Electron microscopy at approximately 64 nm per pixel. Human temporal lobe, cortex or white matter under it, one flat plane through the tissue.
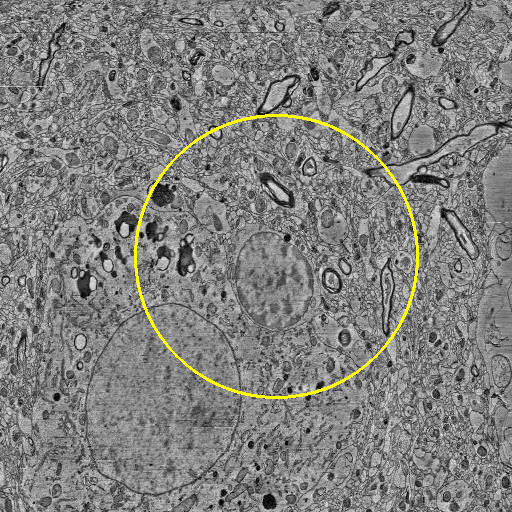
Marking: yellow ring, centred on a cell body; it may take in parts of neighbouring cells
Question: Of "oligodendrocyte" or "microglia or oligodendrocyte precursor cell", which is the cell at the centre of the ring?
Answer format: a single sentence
The ring surrounds the body of an oligodendrocyte.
